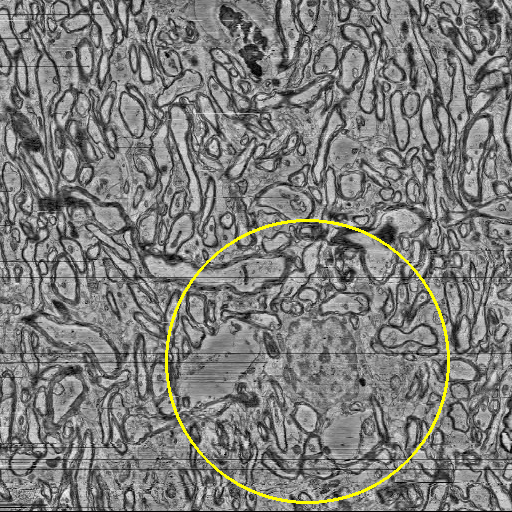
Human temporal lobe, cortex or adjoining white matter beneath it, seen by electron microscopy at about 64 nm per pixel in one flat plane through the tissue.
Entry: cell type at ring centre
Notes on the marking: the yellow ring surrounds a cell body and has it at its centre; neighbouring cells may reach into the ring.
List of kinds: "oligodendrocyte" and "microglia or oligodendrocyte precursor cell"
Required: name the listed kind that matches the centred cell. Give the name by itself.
oligodendrocyte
